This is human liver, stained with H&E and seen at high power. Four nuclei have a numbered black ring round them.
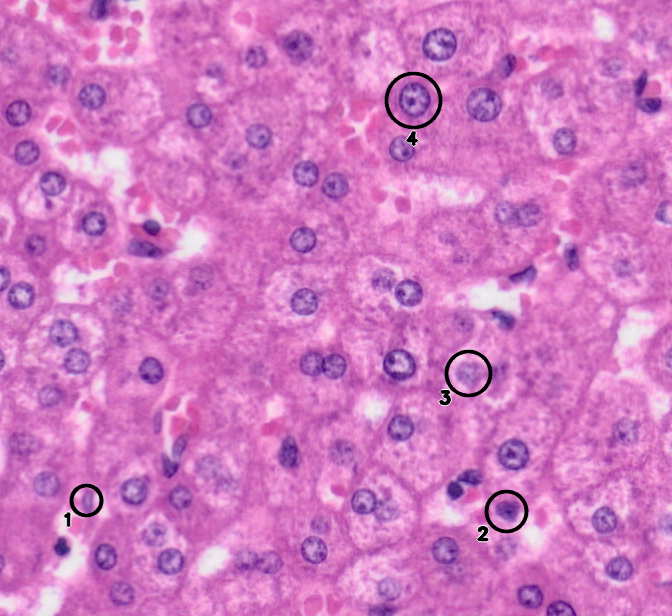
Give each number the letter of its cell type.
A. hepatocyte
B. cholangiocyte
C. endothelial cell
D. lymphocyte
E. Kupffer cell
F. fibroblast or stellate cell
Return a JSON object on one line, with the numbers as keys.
{"1": "E", "2": "F", "3": "A", "4": "A"}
